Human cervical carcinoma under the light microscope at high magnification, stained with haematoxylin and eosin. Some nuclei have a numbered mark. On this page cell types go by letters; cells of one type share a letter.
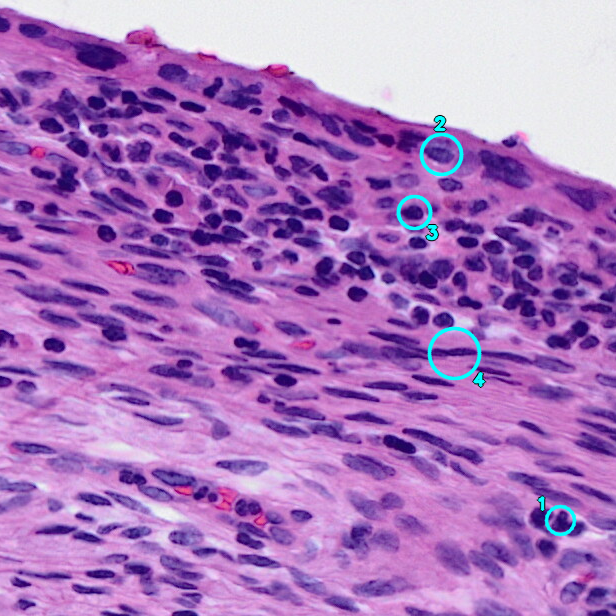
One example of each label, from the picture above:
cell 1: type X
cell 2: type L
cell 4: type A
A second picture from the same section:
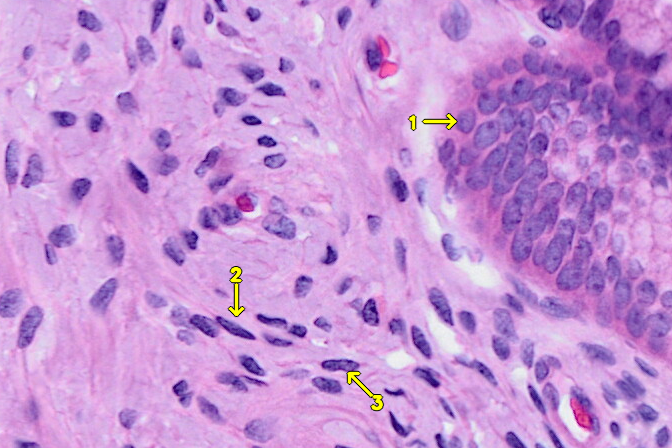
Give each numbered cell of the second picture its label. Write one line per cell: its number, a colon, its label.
1: type L
2: type A
3: type A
